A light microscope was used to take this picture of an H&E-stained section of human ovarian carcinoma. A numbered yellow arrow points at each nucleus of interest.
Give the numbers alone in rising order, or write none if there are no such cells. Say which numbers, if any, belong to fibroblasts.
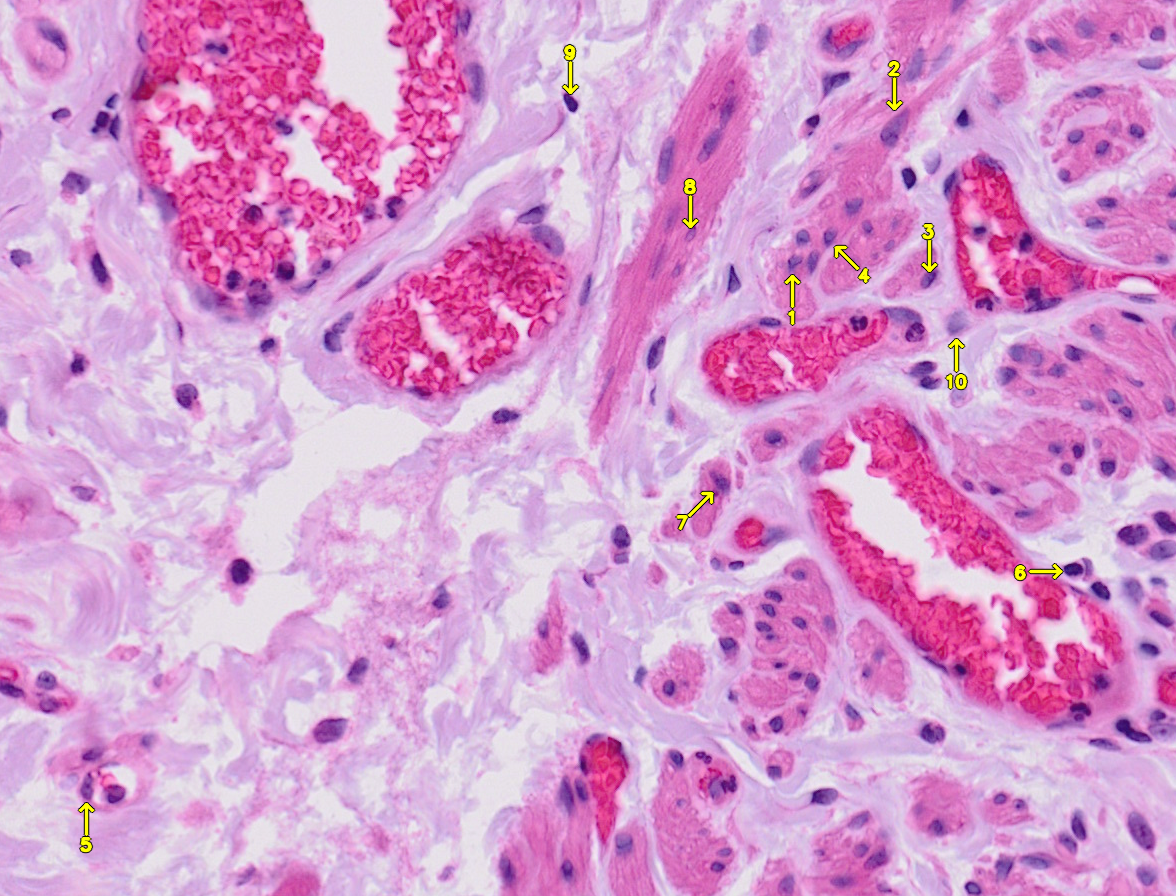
10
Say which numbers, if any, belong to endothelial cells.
5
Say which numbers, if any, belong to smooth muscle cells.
1, 2, 3, 4, 7, 8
